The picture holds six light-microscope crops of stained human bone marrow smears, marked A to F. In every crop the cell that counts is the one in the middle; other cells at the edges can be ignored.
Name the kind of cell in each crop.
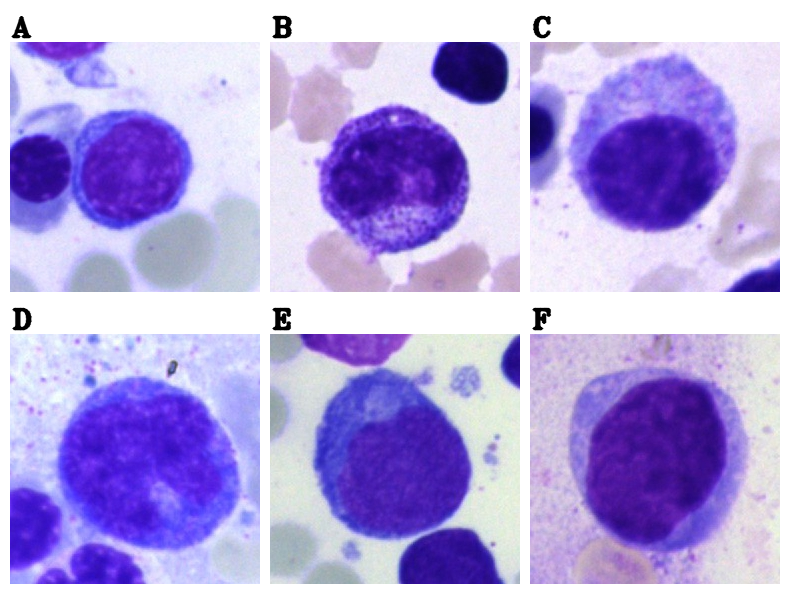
A: lymphocyte
B: promyelocyte
C: promyelocyte
D: promyelocyte
E: blast
F: blast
